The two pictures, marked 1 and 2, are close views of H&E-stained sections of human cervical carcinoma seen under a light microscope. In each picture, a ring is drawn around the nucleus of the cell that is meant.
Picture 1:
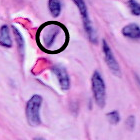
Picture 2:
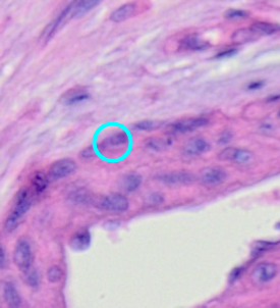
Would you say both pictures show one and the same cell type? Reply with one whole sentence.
No, the types are not the same, since picture 1 shows an endothelial cell and picture 2 a smooth muscle cell.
